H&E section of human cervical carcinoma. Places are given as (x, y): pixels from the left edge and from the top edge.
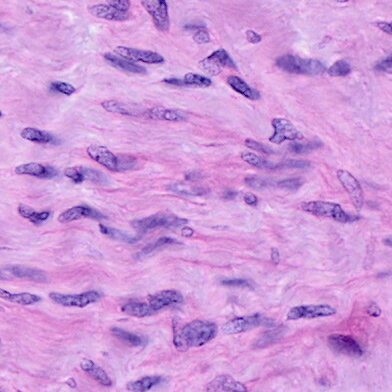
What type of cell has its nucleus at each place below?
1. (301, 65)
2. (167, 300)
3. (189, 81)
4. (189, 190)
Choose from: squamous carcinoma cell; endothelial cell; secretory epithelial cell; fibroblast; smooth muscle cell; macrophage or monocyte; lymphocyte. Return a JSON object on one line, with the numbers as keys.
{"1": "fibroblast", "2": "smooth muscle cell", "3": "fibroblast", "4": "smooth muscle cell"}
